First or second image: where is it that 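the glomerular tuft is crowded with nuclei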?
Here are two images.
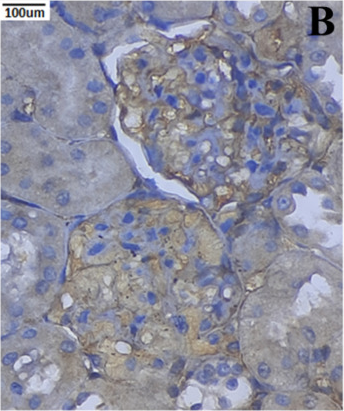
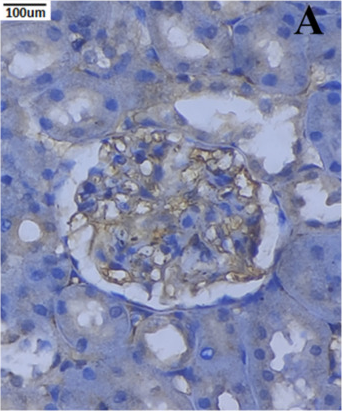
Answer: the first image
